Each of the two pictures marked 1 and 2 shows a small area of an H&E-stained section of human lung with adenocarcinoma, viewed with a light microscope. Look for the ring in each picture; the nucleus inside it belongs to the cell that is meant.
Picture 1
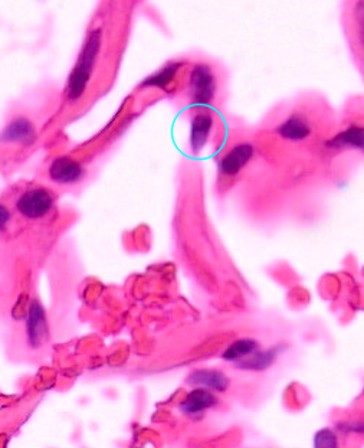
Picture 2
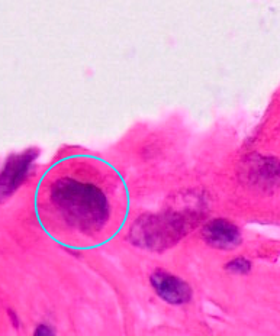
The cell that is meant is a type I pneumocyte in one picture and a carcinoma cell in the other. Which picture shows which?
1: type I pneumocyte
2: carcinoma cell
